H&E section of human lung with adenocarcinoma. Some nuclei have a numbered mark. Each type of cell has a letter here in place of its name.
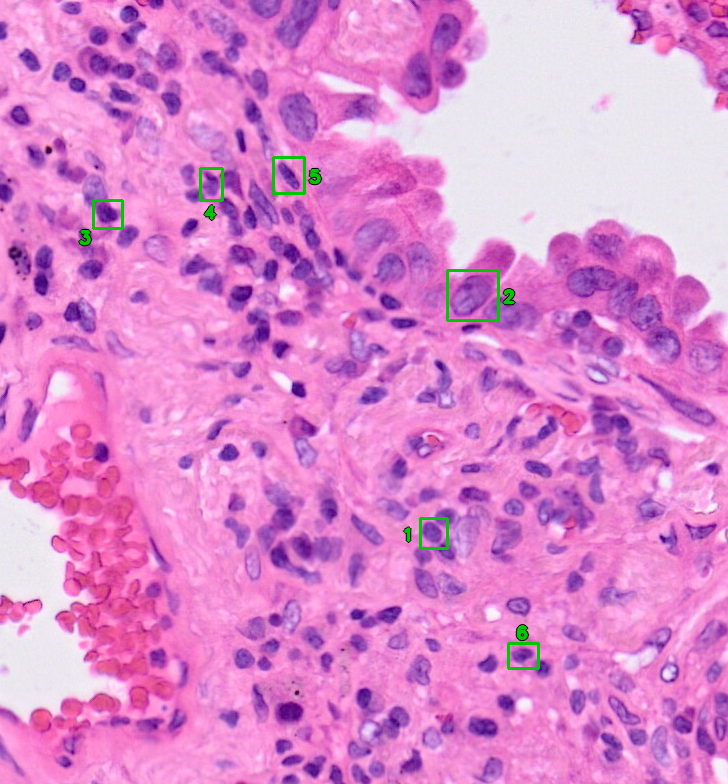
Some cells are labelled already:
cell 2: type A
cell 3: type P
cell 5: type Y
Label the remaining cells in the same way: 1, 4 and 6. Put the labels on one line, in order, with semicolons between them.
type Y; type Y; type Y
